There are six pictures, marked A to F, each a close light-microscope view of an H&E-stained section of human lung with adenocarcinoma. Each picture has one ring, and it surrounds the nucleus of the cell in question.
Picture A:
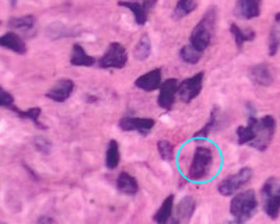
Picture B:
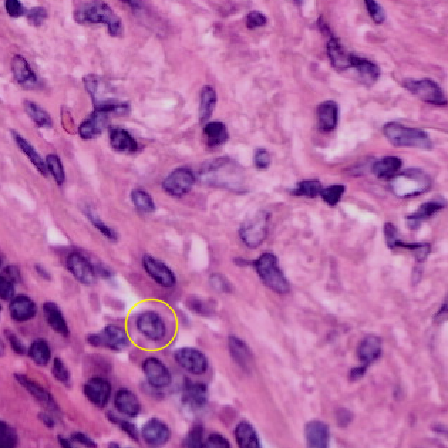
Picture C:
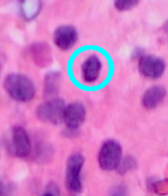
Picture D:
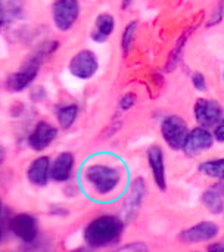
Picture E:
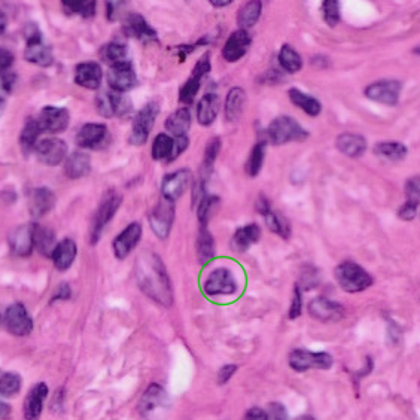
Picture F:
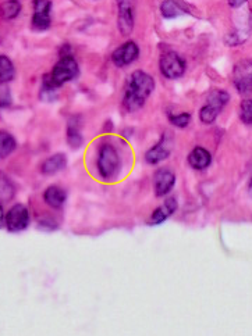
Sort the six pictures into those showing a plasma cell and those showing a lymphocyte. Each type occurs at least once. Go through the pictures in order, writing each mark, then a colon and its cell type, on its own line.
A: plasma cell
B: plasma cell
C: lymphocyte
D: lymphocyte
E: lymphocyte
F: plasma cell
